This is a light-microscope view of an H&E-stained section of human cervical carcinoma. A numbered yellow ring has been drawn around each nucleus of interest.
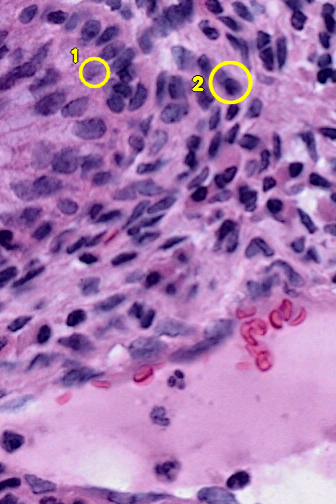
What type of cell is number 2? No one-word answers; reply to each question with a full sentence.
The cell that bears the number 2 is a fibroblast.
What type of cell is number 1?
Within this field of view, the cell labelled 1 is a secretory epithelial cell.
